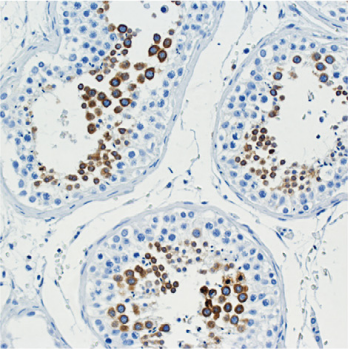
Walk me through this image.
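Seminiferous tubules of the testis in cross section, each with several layers of germ cells with round blue nuclei surrounding a lumen. Brown staining outlines clusters of small round cells in the inner, adluminal layers, the post-meiotic germ cells, whereas cells along the basal wall of the tubules and the interstitial tissue remain unstained.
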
